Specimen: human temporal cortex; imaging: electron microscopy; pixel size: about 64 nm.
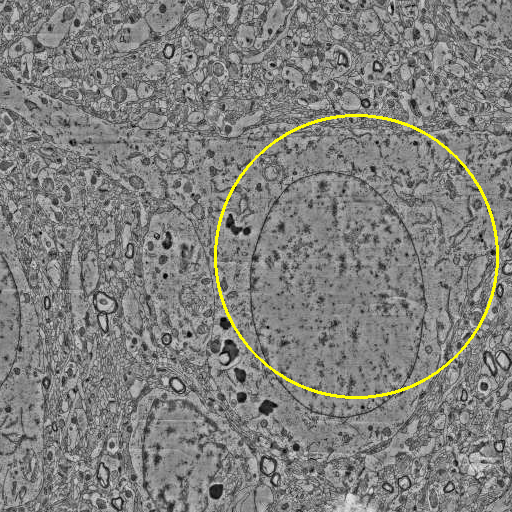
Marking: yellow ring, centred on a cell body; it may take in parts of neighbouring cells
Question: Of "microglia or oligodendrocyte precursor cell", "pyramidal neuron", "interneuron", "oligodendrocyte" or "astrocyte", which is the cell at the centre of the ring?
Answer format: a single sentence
The ring surrounds the body of a pyramidal neuron.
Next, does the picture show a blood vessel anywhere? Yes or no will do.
No, a blood vessel is absent from this picture.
